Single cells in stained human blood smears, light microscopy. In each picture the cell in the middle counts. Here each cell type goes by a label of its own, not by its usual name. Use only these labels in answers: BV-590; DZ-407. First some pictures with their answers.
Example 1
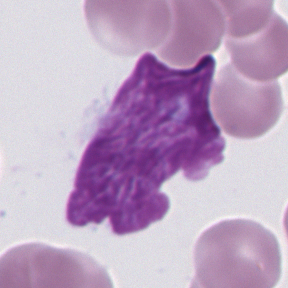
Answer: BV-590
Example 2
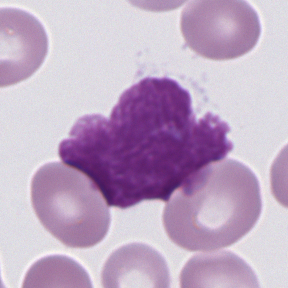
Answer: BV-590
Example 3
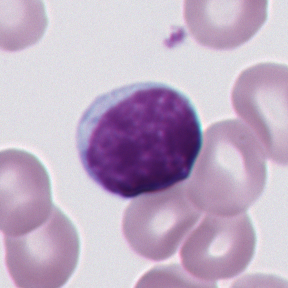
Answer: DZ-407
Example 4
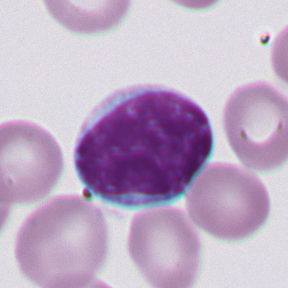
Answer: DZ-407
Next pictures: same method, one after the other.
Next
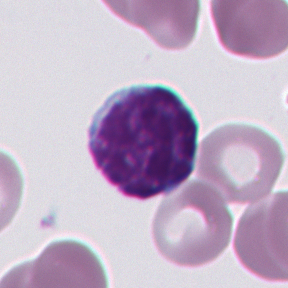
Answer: DZ-407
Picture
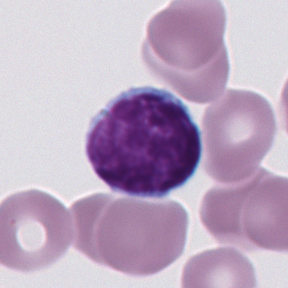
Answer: DZ-407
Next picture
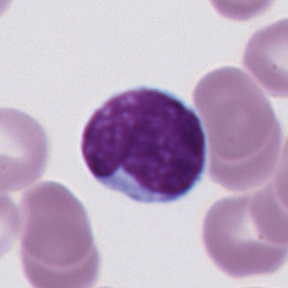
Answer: DZ-407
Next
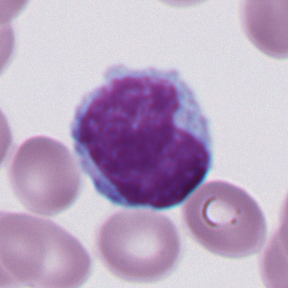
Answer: DZ-407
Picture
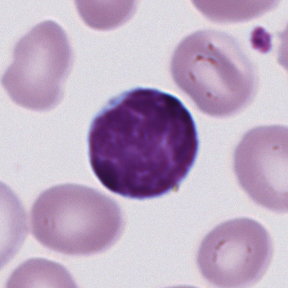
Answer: DZ-407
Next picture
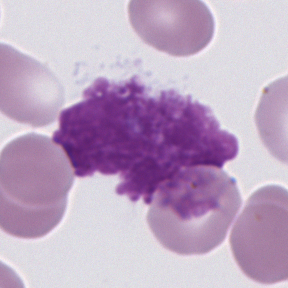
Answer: BV-590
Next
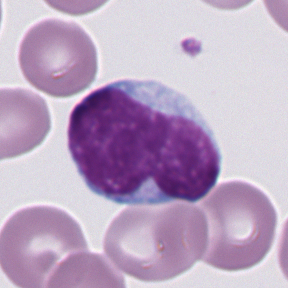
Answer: DZ-407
